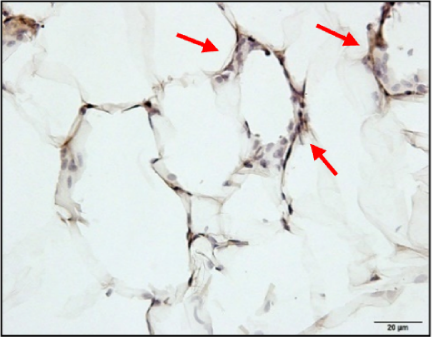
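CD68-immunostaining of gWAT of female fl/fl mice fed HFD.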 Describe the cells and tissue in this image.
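Section of adipose tissue made of large, empty, polygonal fat cells whose thin membranes form a network. Where several cells meet, the septa are thickened by clusters of small cells with dark purple nuclei and light brown stained cytoplasm, pointed out by red arrows. These clusters lie between and wrap around the edges of neighbouring fat cells, in places forming crown-like rings along the membranes. Elsewhere the septa are thin with only occasional flattened nuclei. The fat cells vary in size, and their interiors are unstained and clear.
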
